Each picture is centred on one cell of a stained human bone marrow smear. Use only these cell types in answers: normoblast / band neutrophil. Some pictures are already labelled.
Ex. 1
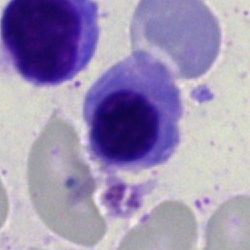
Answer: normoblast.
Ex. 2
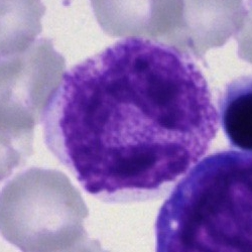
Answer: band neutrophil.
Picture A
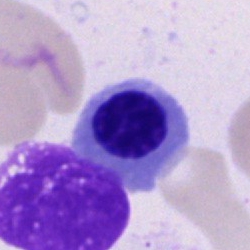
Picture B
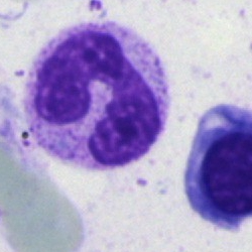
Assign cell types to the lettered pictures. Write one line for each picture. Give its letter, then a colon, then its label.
A: normoblast.
B: band neutrophil.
